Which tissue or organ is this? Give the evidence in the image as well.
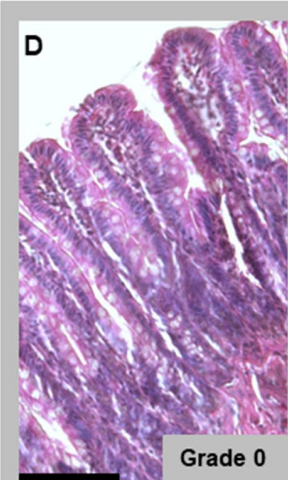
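Tall finger-like projections lined by a single layer of columnar epithelium. A core of loose connective tissue runs inside each projection.
Answer: Intestinal tissue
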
